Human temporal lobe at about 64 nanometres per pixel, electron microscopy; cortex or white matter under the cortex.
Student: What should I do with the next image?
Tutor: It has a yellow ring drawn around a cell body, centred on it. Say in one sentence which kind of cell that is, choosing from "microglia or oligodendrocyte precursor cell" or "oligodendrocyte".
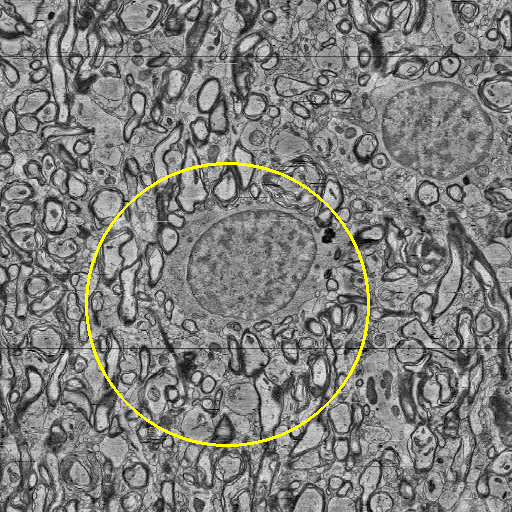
The ring's centre is occupied by an oligodendrocyte.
